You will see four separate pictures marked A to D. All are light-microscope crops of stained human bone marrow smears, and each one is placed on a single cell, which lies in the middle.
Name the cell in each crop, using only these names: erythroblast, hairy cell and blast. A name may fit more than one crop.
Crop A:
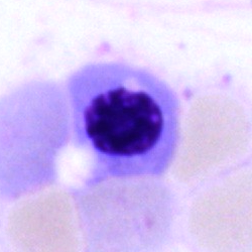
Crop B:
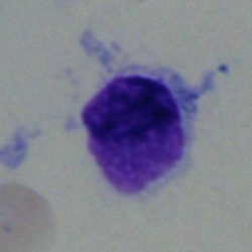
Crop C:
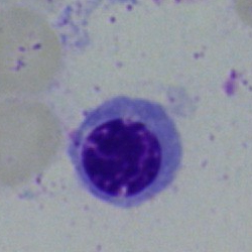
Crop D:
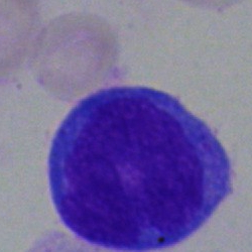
A: erythroblast
B: hairy cell
C: erythroblast
D: blast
